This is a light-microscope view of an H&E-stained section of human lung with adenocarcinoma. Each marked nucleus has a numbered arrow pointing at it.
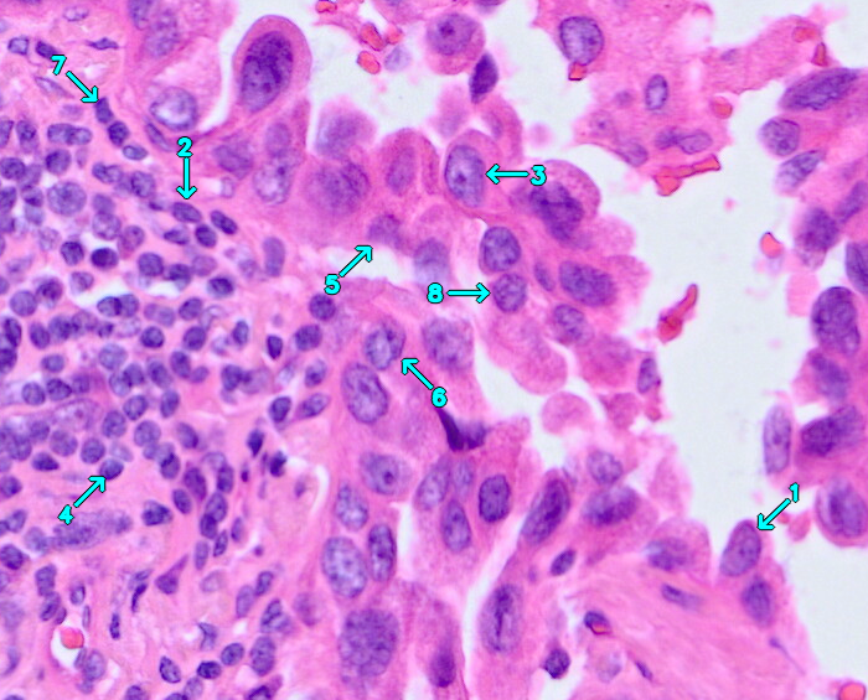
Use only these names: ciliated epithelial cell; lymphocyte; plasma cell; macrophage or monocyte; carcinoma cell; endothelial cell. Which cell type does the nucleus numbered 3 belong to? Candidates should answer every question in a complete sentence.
The cell that bears the number 3 is a carcinoma cell.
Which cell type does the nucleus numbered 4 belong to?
The cell that goes by number 4 is a lymphocyte.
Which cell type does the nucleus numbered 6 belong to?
Number 6 among the marked cells is a carcinoma cell.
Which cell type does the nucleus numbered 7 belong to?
The numbered cell 7 in this field is a lymphocyte.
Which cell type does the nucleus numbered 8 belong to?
The numeral 8 marks a carcinoma cell in this section.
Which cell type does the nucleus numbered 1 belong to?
Recognised here as a carcinoma cell is the cell numbered 1.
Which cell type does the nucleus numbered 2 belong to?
Cell 2, as marked in the section, is a lymphocyte.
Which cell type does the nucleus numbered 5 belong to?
The numbered cell 5 is identified here as a carcinoma cell.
